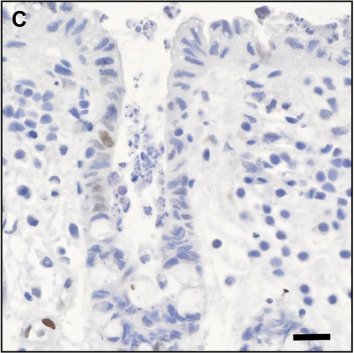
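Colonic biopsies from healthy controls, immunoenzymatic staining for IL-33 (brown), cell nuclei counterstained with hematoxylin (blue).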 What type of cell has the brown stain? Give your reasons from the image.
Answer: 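Epithelial cells. A brown-stained nucleus lies within the columnar lining of a crypt. Most other nuclei are blue only.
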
